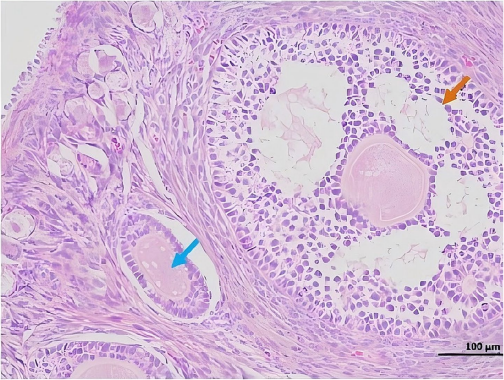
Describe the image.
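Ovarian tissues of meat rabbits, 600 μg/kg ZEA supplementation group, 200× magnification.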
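Irregular clear spaces containing faint pink fluid open among the granulosa cells. At left a smaller follicle with a pink oocyte is embedded in stroma of spindle-shaped cells arranged in streams.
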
